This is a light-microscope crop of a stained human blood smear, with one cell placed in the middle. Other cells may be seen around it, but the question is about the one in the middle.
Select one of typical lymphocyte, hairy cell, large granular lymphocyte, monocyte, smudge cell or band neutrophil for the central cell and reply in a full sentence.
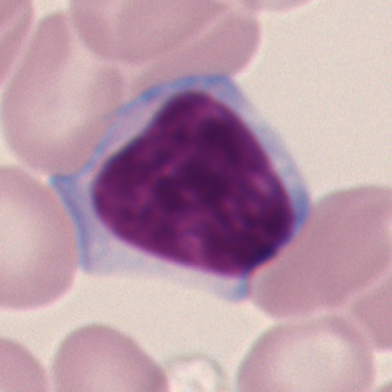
The central element of this crop is a cell, namely a typical lymphocyte.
